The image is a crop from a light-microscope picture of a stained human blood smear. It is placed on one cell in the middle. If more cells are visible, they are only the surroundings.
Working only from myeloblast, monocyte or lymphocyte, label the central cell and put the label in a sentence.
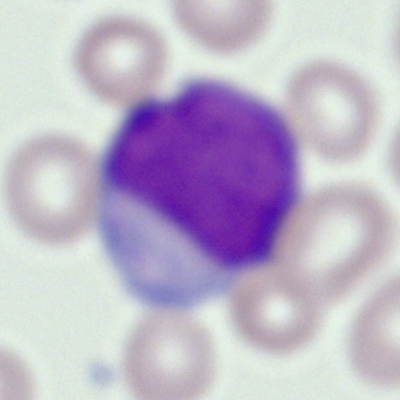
Looking at the middle of the crop, the cell there is a myeloblast.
